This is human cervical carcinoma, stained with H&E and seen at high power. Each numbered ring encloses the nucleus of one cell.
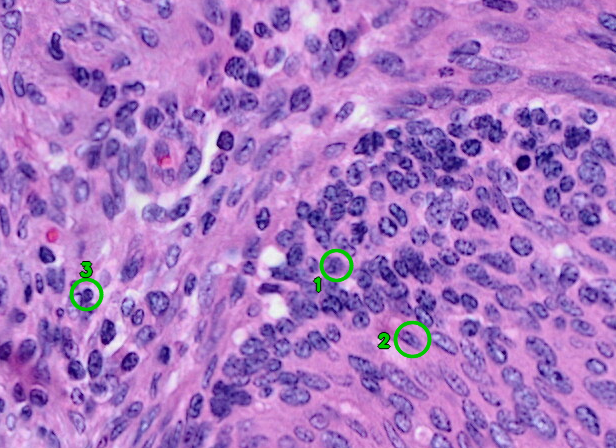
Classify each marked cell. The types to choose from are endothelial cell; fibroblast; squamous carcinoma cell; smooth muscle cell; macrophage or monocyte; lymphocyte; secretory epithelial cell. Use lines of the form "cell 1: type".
cell 1: squamous carcinoma cell
cell 2: squamous carcinoma cell
cell 3: lymphocyte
